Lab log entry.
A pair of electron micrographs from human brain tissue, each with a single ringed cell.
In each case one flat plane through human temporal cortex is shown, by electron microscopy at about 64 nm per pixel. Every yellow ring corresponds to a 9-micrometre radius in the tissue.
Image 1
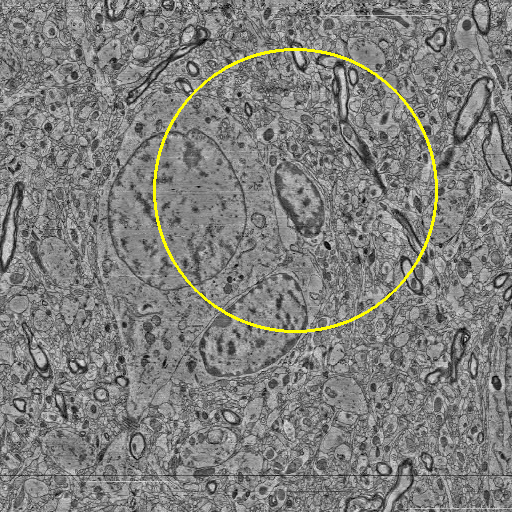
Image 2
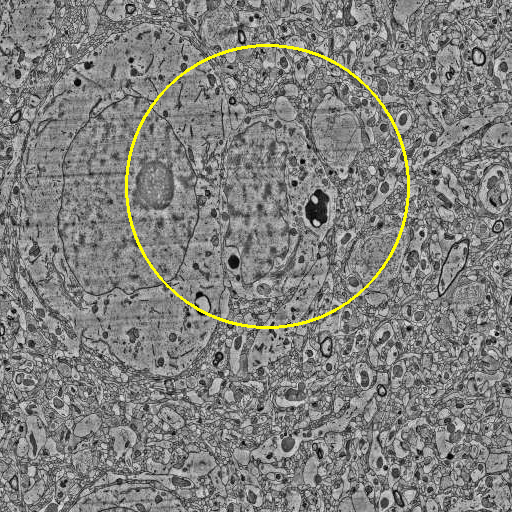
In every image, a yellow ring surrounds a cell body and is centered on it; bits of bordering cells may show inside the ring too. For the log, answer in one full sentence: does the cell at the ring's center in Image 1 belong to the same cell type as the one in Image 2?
No, the cells at the ring centers in Image 1 and Image 2 are of separate types.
